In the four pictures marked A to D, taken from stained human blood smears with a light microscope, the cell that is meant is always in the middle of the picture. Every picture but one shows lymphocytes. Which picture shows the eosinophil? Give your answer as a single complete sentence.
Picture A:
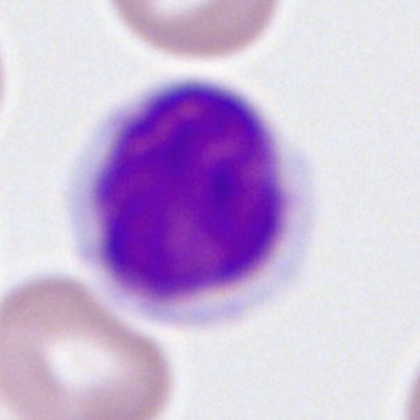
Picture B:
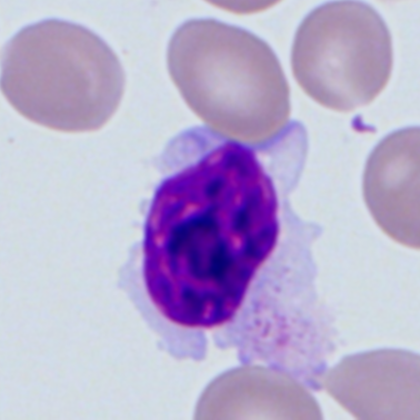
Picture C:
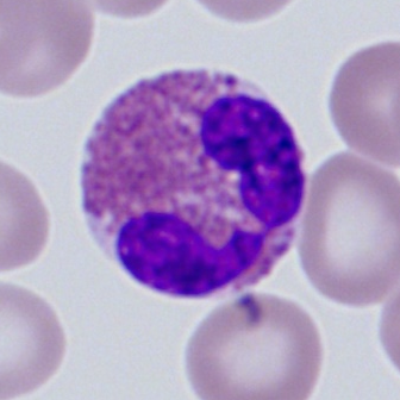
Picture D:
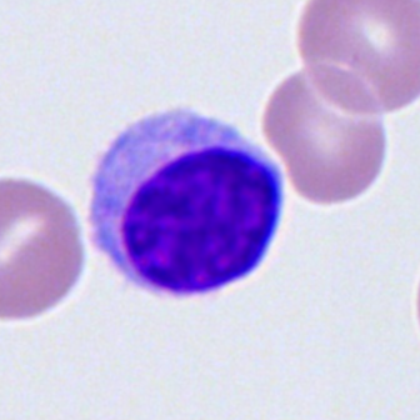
The cell in picture C is the eosinophil.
